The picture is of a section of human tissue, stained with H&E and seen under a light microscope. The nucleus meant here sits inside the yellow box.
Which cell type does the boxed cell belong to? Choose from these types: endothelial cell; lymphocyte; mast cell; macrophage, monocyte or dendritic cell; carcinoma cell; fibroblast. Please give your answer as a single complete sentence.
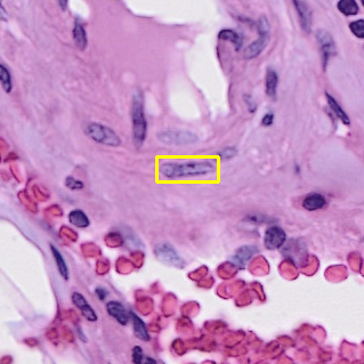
The expected answer is simply that the boxed cell is an endothelial cell.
